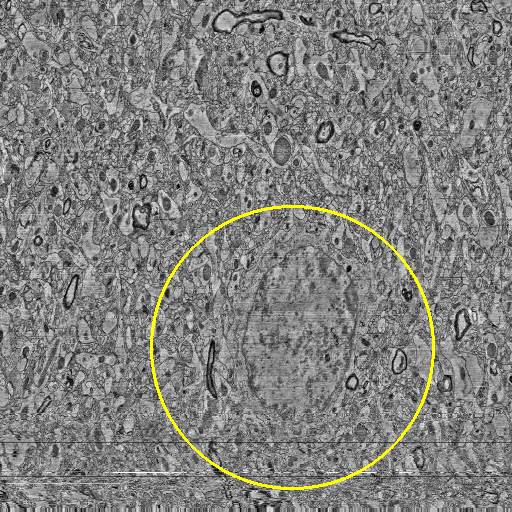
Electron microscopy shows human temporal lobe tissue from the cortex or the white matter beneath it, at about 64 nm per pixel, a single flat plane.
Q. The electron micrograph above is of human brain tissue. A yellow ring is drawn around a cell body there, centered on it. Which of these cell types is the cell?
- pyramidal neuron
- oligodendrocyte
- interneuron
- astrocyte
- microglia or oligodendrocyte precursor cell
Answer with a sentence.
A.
The cell under the ring's center is an interneuron.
